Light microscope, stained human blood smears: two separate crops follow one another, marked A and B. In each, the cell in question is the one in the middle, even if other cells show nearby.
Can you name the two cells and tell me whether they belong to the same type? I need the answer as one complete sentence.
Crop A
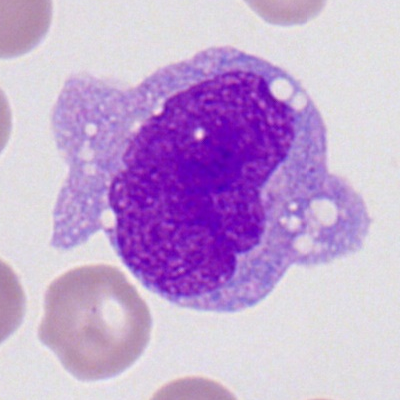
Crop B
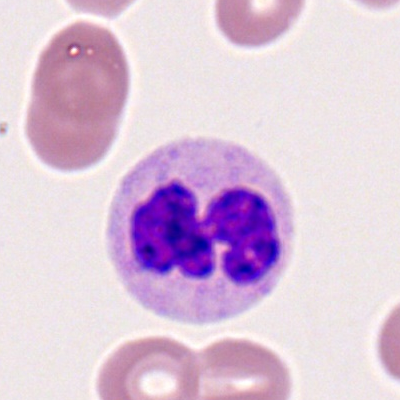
No, just to correct that: crop A shows a monocyte, crop B shows a segmented neutrophil.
